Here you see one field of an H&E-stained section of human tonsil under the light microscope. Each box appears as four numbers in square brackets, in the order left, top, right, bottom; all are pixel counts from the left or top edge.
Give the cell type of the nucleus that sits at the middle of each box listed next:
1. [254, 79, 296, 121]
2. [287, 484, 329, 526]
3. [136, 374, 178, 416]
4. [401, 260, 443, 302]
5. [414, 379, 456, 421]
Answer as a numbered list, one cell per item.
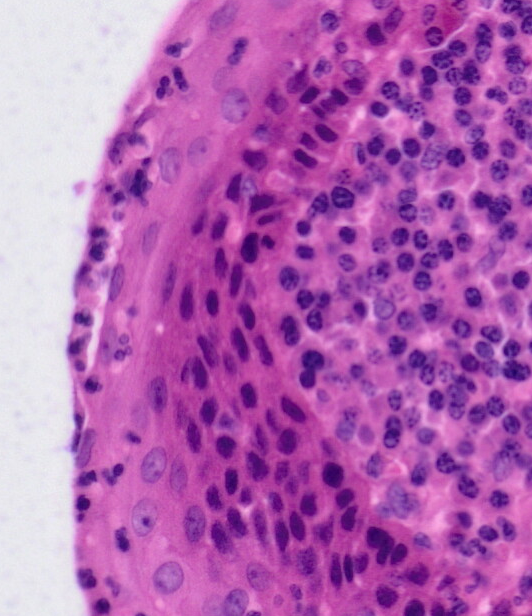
1. squamous epithelial cell
2. squamous epithelial cell
3. squamous epithelial cell
4. plasma cell
5. plasma cell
